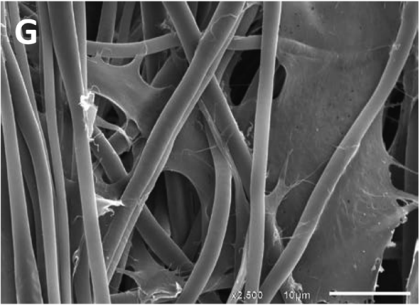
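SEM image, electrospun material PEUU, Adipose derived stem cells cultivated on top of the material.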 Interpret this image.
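The cell bodies form thin sheets that lie across and between the fibers. Fine cytoplasmic extensions reach out from the cell edges and attach to neighbouring fibers. The gaps between the fibers remain open beneath and around the cells.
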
